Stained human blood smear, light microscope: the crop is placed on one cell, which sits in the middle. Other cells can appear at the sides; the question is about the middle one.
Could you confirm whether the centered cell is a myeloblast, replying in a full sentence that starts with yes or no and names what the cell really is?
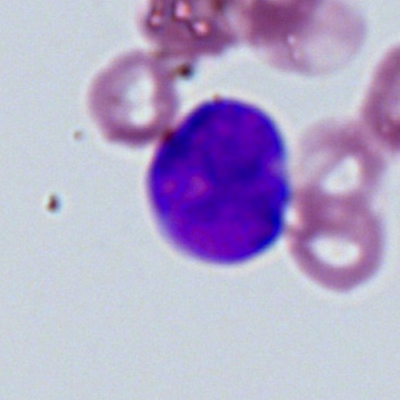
Yes, the crop's central cell is a myeloblast.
